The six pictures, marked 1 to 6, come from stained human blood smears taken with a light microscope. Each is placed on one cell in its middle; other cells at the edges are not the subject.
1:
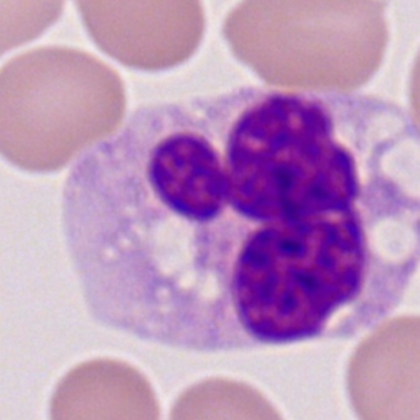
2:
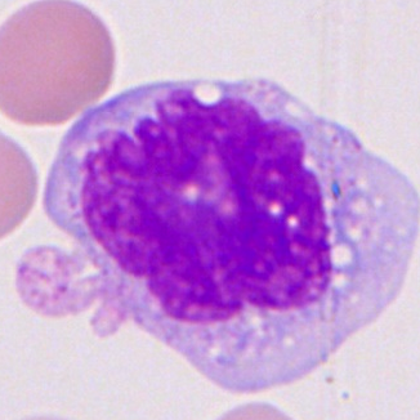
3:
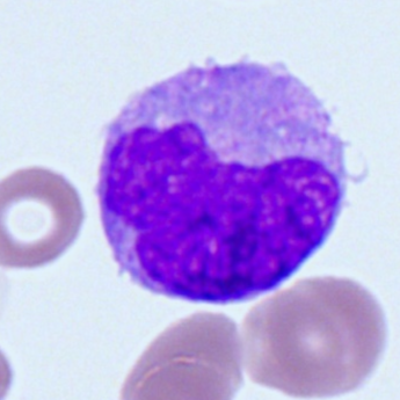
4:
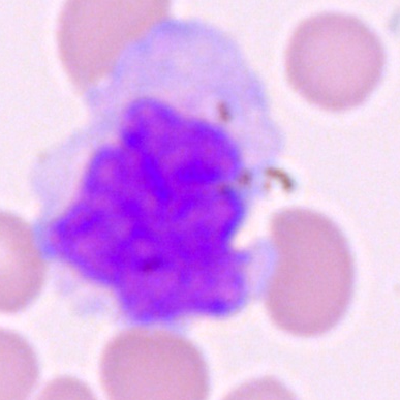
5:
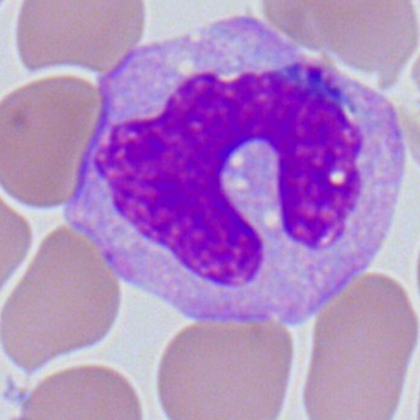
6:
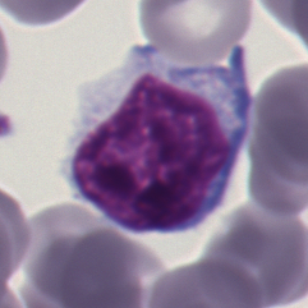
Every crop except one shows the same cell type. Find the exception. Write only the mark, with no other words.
6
